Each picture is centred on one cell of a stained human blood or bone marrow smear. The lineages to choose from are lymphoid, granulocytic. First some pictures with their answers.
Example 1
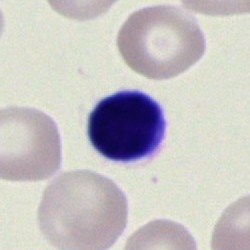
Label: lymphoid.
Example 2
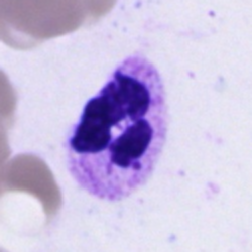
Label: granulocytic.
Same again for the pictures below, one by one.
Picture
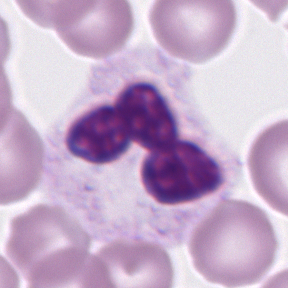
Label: granulocytic.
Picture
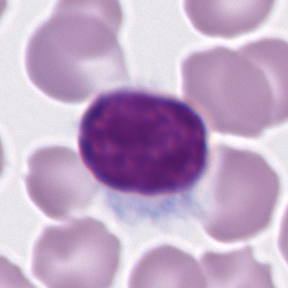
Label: lymphoid.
